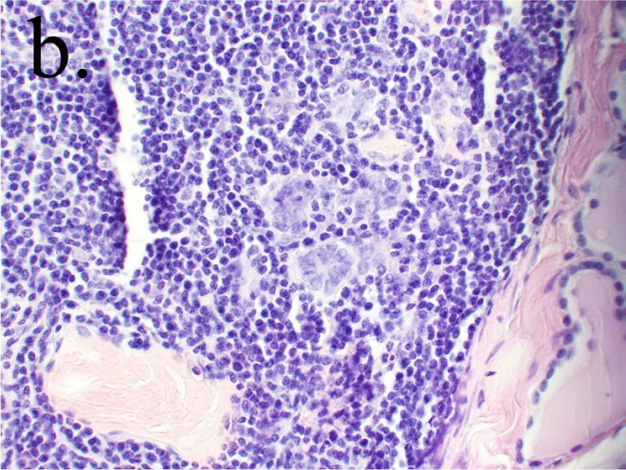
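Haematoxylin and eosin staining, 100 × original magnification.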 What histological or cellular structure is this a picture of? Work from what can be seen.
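Small pale clusters of larger cells with overlapping nuclei lie in the centre. These clusters are surrounded by dense small dark round cells. The answer: Irregularly shaped follicles with crowded nuclei.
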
